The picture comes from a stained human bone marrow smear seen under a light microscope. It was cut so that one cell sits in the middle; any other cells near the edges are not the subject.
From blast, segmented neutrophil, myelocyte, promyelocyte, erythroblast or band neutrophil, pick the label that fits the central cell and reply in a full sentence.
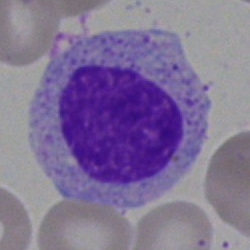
The cell at the heart of this crop is a myelocyte.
